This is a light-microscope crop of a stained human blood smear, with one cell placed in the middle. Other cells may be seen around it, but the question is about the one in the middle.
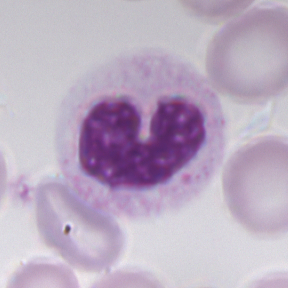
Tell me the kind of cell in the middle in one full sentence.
In the middle of this smear crop, the cell is a band neutrophil.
